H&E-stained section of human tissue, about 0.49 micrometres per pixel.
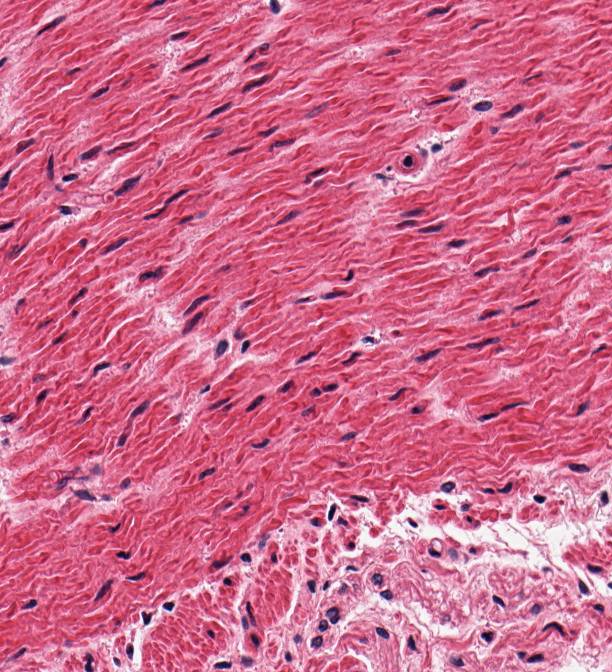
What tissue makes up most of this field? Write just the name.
smooth muscle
